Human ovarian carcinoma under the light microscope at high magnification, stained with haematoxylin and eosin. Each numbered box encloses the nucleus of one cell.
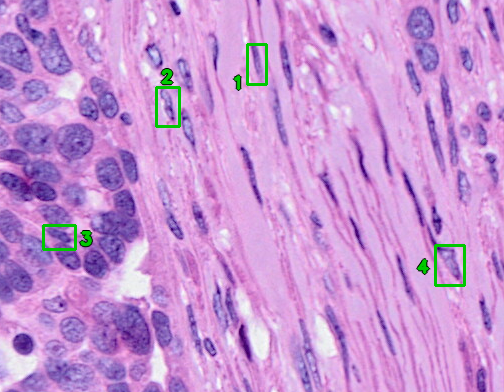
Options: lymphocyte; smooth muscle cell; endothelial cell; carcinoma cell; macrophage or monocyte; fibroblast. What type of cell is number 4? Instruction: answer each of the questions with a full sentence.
The numeral 4 marks a fibroblast in this section.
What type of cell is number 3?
Recognised here as a carcinoma cell is the cell numbered 3.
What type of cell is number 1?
The cell bearing label 1 corresponds to a fibroblast.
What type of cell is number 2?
The label 2 in this section denotes a fibroblast.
